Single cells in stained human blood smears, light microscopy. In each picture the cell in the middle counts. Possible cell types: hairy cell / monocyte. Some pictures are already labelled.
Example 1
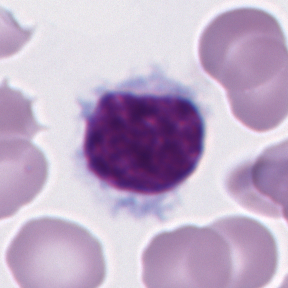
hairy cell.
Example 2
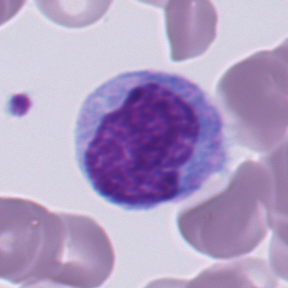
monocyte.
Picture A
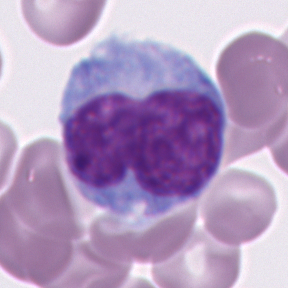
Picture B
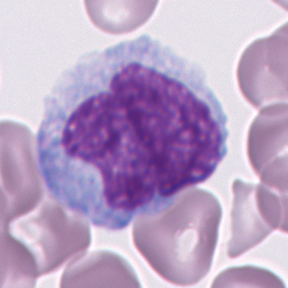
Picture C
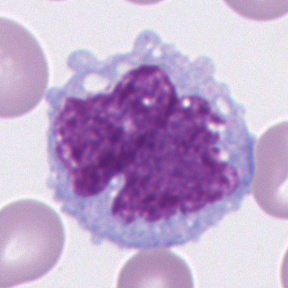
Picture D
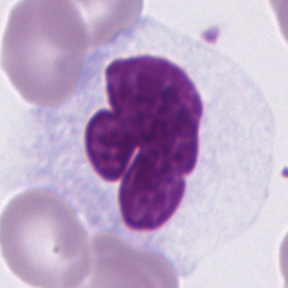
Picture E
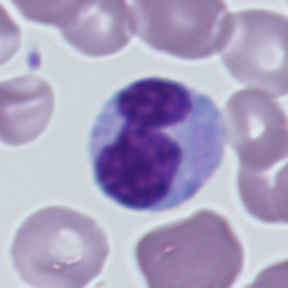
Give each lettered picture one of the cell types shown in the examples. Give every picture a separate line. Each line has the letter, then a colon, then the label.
A: monocyte.
B: monocyte.
C: monocyte.
D: monocyte.
E: monocyte.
